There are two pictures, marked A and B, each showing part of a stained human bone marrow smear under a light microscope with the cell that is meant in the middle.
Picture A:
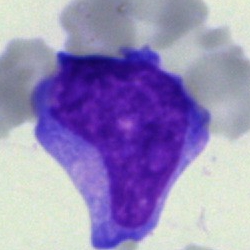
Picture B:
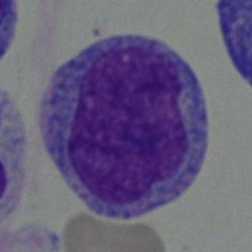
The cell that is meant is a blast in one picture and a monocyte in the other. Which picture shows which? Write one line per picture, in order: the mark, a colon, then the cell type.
A: blast
B: monocyte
